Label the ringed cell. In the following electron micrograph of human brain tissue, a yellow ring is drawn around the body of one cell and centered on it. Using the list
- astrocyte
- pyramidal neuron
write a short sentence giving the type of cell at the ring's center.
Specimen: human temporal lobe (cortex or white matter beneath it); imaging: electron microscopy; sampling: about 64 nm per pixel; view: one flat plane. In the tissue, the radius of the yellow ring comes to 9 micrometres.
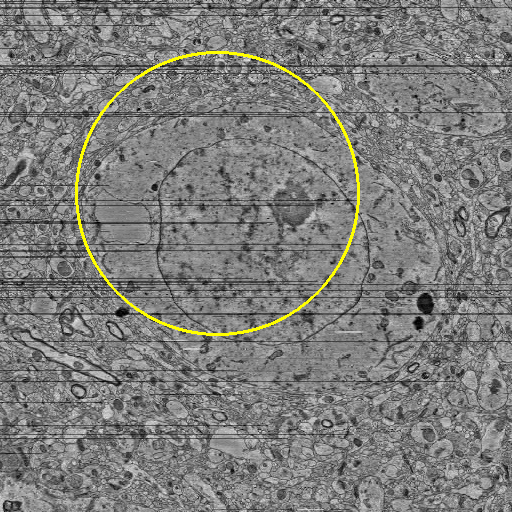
The cell body at the ring's center is that of a pyramidal neuron.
